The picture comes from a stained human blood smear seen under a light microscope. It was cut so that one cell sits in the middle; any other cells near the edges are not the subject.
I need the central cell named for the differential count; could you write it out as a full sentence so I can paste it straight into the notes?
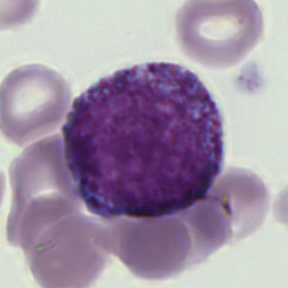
Looking at the middle of the crop, the cell there is a promyelocyte.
